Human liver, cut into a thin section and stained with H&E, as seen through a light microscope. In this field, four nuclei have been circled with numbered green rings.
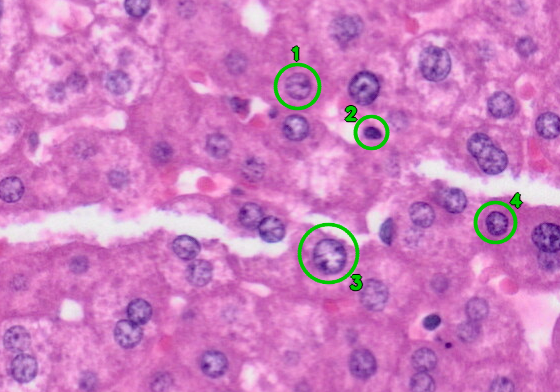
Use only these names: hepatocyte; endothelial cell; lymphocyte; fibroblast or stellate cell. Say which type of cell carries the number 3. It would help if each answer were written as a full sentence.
The label 3 in this section denotes a hepatocyte.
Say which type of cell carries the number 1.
Among the marked cells, number 1 is a hepatocyte.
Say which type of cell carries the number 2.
The cell bearing label 2 corresponds to a lymphocyte.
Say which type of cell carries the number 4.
The numbered cell 4 is identified here as a hepatocyte.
